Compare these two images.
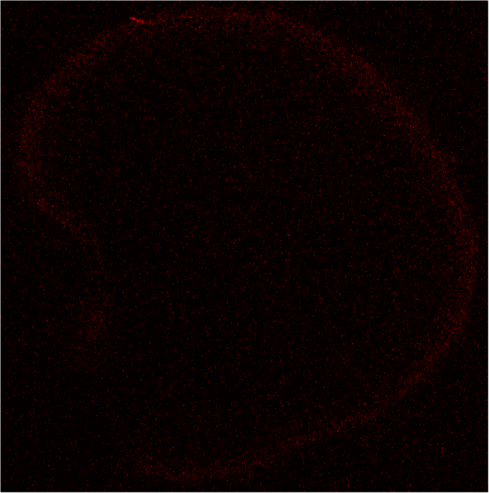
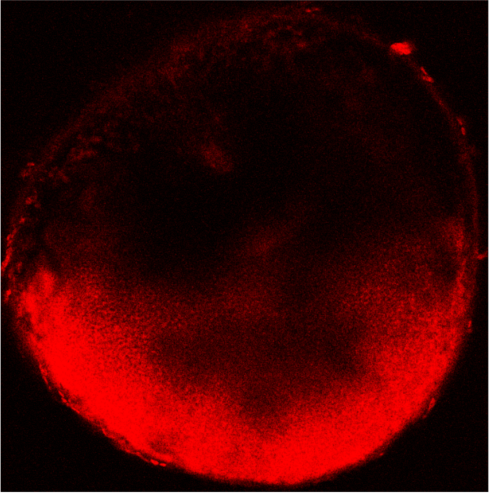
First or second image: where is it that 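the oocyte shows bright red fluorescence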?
the second image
